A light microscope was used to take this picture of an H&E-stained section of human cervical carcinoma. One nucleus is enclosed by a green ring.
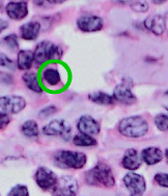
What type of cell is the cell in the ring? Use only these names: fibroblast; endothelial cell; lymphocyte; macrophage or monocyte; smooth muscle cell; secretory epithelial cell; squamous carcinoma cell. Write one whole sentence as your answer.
It is as a lymphocyte that the cell in the ring is recorded.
